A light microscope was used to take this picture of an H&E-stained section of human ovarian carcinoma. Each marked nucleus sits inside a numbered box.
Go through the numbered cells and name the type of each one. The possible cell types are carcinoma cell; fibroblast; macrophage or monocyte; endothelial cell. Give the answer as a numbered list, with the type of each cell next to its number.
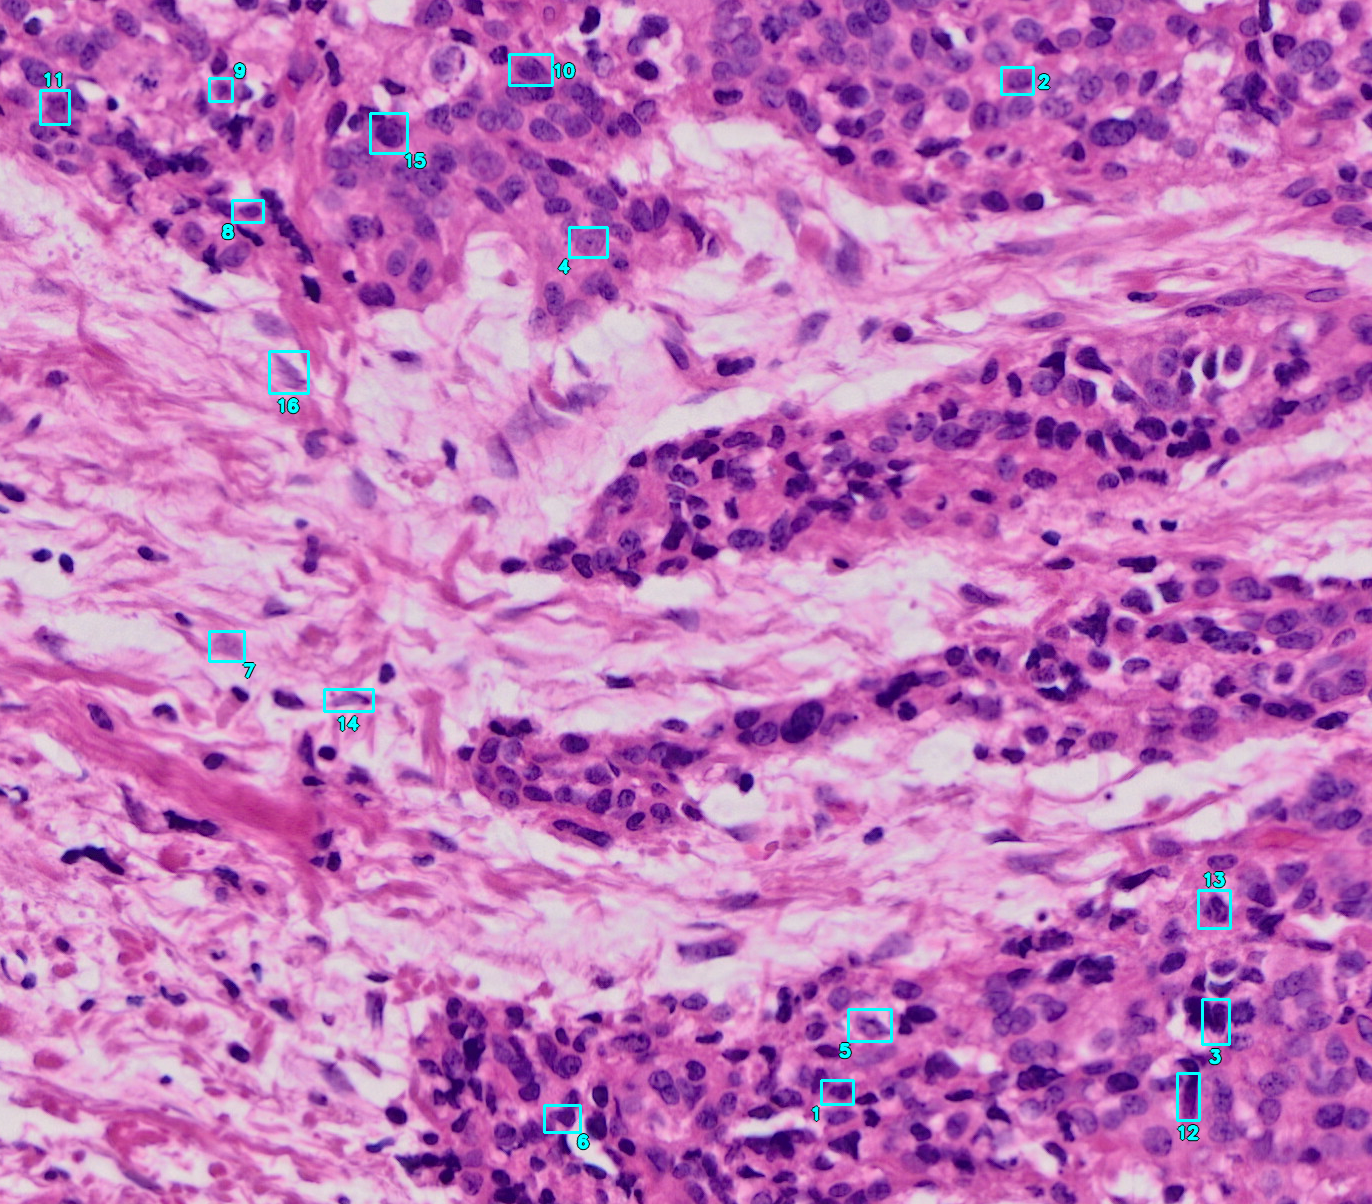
1. carcinoma cell
2. carcinoma cell
3. carcinoma cell
4. carcinoma cell
5. macrophage or monocyte
6. carcinoma cell
7. fibroblast
8. macrophage or monocyte
9. macrophage or monocyte
10. carcinoma cell
11. carcinoma cell
12. carcinoma cell
13. macrophage or monocyte
14. fibroblast
15. carcinoma cell
16. fibroblast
